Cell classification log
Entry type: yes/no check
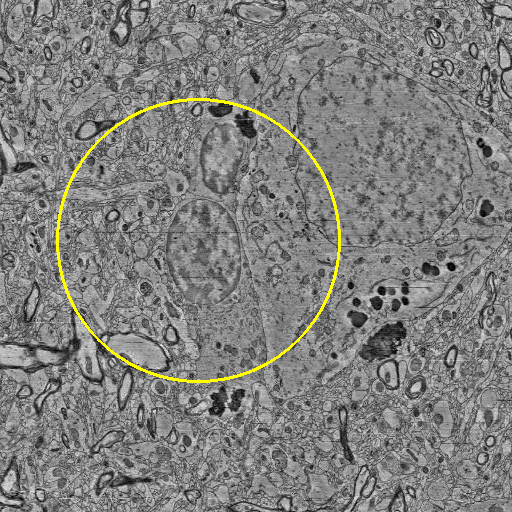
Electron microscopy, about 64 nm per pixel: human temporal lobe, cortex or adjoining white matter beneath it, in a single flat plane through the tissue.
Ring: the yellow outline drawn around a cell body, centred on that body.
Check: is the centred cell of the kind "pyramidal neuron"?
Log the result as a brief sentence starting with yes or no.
No, the cell is of another kind.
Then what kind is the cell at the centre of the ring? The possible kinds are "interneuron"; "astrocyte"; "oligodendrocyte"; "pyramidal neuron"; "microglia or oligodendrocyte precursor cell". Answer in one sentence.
The answer is that the ringed cell is an oligodendrocyte.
